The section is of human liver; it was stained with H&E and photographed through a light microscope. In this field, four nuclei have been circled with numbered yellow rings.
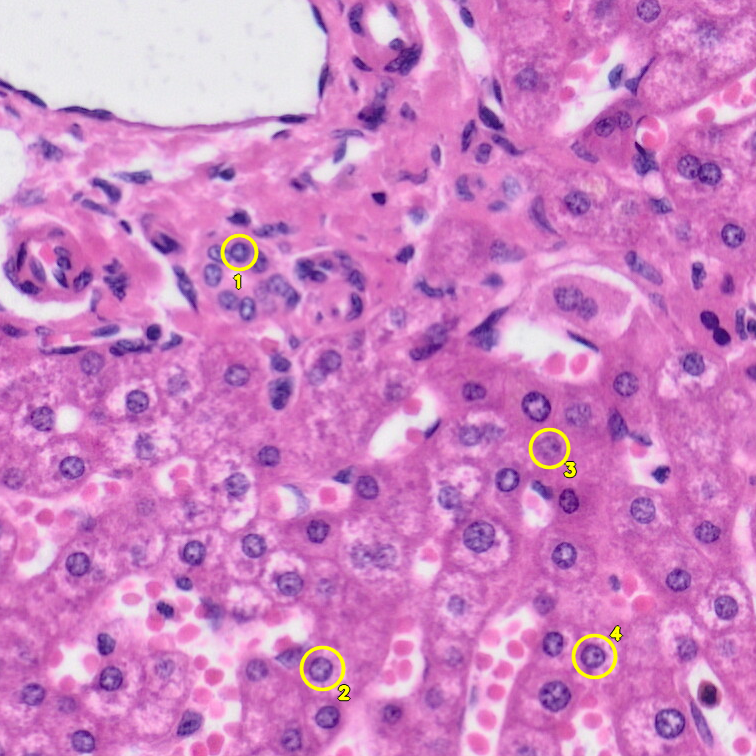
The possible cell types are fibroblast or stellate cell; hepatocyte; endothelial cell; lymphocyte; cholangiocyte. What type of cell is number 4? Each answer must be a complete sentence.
It is as a hepatocyte that the cell numbered 4 is identified.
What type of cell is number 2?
Belonging to a hepatocyte is the nucleus that carries the number 2.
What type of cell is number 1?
The cell assigned the number 1 is a cholangiocyte.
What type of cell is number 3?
Corresponding to a hepatocyte is the cell labelled 3.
